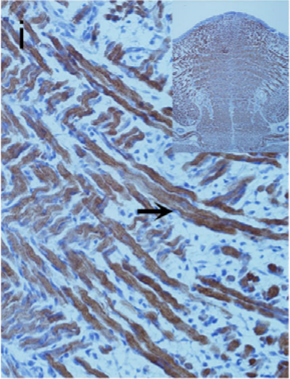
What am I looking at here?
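The myotubes are long, slender and ribbon-like, running in parallel bundles that curve across the field, with some bundles cut more obliquely so their fibres appear as short brown segments. Elongated blue nuclei lie in rows along the fibres. Between the bundles are loosely arranged cells with small oval blue nuclei and little stained cytoplasm. A low-magnification inset shows the whole tongue in cross-section with its muscle bundles.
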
